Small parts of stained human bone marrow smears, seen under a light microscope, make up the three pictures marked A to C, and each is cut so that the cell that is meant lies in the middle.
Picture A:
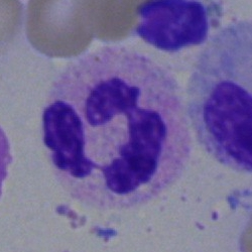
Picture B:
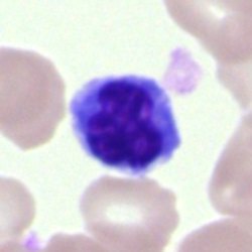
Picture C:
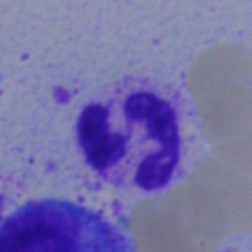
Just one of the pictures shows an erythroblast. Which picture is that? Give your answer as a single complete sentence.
The erythroblast is the one in picture B.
